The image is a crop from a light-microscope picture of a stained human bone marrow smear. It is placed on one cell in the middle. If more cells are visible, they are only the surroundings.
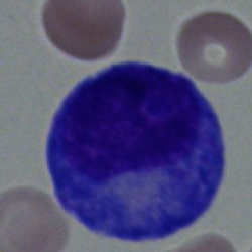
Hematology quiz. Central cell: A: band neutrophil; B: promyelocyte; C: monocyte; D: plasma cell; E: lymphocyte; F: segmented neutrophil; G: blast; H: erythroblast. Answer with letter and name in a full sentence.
The correct choice is option B, which identifies the middle cell as a promyelocyte.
